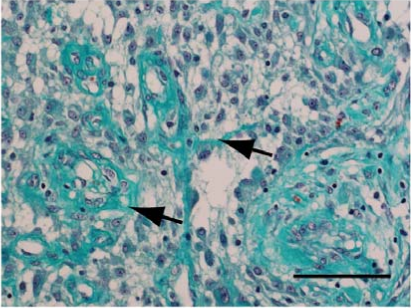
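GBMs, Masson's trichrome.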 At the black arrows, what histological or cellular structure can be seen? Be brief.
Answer: Collagen fibers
